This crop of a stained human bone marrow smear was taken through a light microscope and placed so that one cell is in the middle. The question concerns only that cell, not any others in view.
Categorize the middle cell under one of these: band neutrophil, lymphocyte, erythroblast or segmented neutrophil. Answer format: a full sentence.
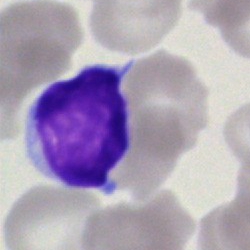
Answering briefly, the cell in the middle is a lymphocyte.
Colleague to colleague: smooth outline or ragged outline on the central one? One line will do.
An irregular outline, ragged or marked by projections, surrounds this cell.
